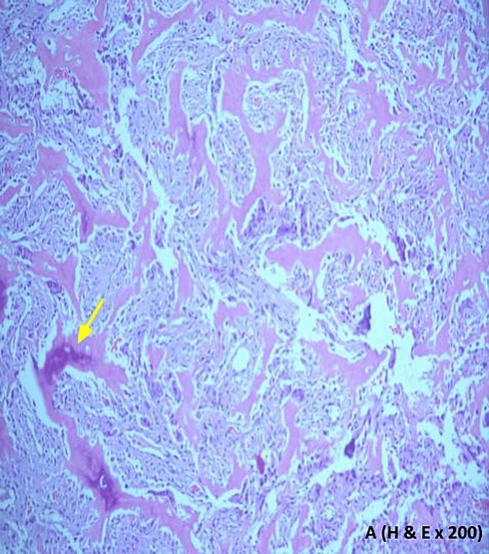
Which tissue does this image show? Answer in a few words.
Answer: Cellular fibrous tissue.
